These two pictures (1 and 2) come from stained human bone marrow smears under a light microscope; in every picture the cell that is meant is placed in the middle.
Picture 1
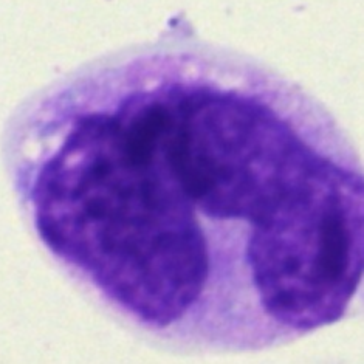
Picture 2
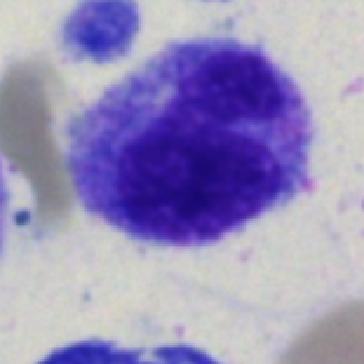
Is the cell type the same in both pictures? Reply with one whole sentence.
Yes, both are monocytes.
